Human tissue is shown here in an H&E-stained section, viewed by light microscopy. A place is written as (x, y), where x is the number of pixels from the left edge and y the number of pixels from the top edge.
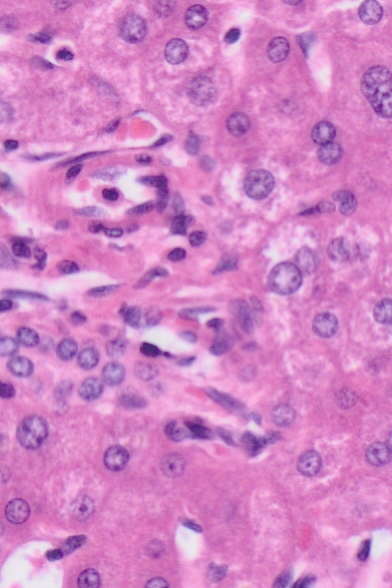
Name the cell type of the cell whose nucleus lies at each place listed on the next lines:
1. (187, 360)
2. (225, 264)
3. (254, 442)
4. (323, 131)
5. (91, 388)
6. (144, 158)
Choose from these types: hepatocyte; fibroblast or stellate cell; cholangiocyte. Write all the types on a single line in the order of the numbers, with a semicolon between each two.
fibroblast or stellate cell; fibroblast or stellate cell; fibroblast or stellate cell; hepatocyte; cholangiocyte; fibroblast or stellate cell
